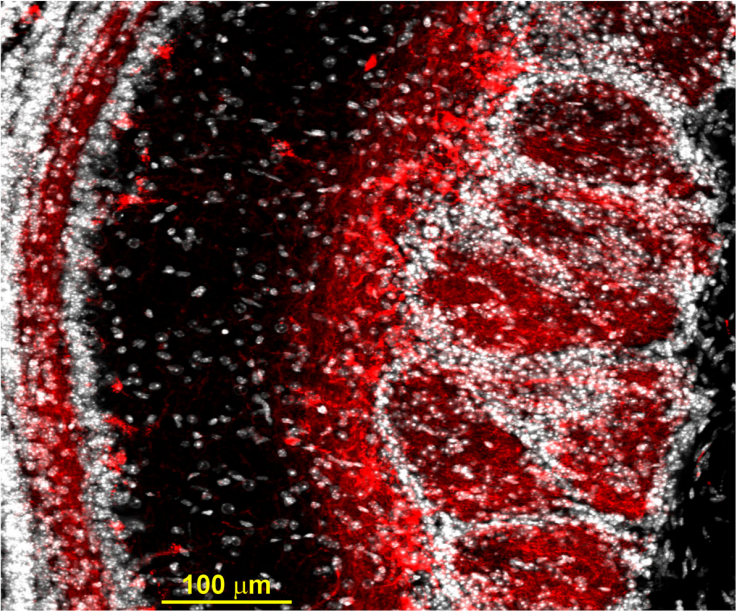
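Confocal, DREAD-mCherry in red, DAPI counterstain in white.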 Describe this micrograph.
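Layered olfactory bulb in section, running from the granule cell layer at the left to the glomerular layer at the right. At the left, a band of densely packed small nuclei is bordered by a thin band of red fibres. Beyond this lies a broad, nucleus-poor external plexiform layer, dark in its deep part and filled with dense red fibres in its superficial part. At the right, rounded glomeruli full of red neuropil are each ringed by tightly packed nuclei.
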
